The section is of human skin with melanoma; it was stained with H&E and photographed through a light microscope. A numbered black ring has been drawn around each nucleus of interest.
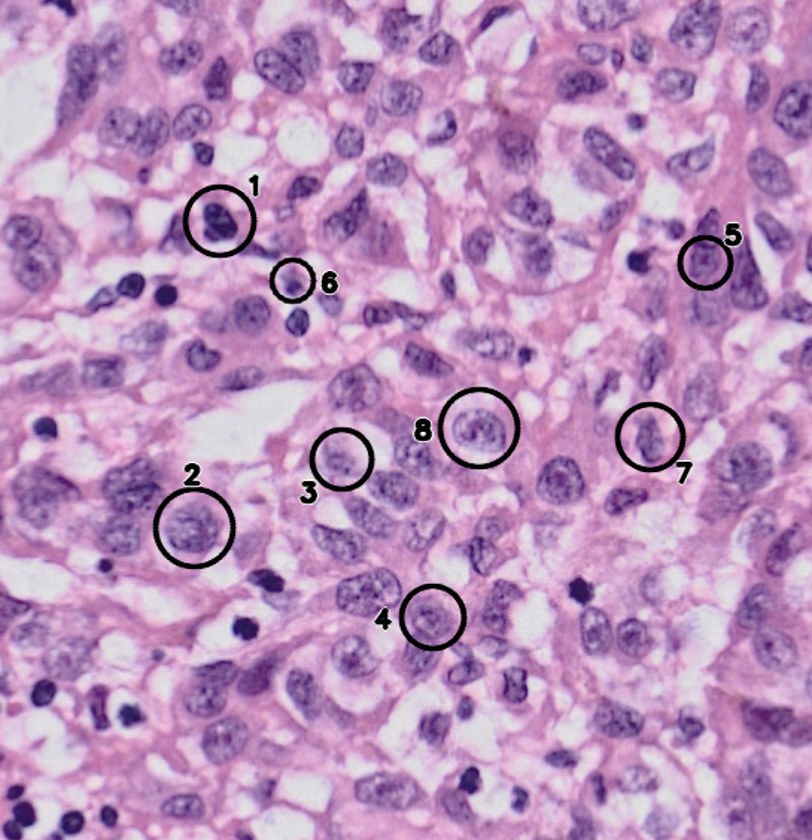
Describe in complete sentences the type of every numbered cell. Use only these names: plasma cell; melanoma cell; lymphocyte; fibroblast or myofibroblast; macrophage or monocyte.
Cell 1 is a plasma cell. Cells 2, 3, 4, 5 and 8 are melanoma cells. Cell 6 is a lymphocyte. Cell 7 is a macrophage or monocyte.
